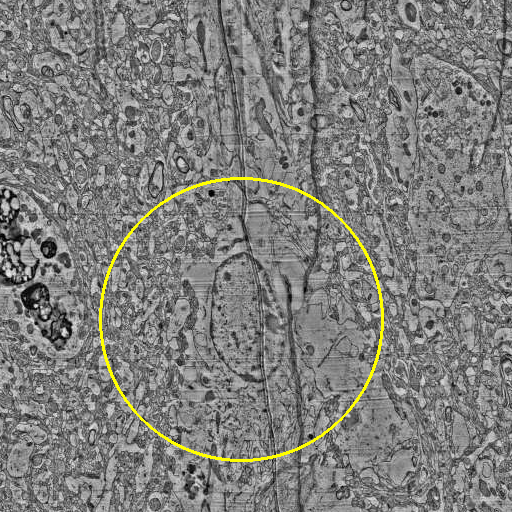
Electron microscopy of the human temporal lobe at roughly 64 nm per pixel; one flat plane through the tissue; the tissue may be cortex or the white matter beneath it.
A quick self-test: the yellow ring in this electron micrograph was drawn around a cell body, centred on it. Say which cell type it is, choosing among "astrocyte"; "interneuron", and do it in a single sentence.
The yellow-ringed cell is an astrocyte.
